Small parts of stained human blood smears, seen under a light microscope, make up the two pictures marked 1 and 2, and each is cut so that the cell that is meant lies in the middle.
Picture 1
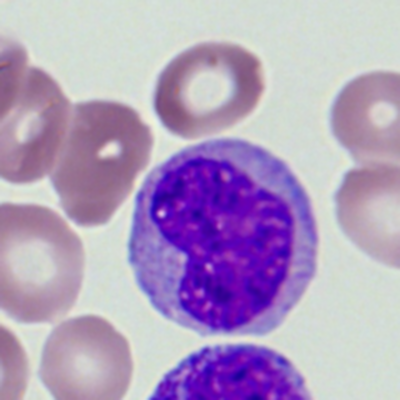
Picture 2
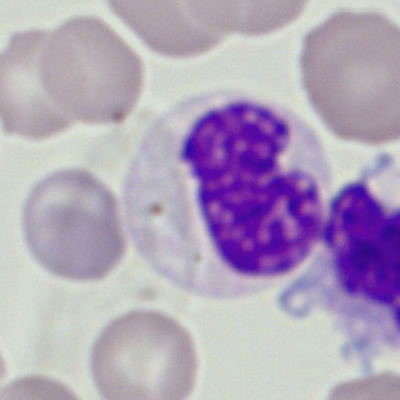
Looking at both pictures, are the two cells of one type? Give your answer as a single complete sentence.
No; the cell in picture 1 is a monocyte, while the one in picture 2 is a band neutrophil.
